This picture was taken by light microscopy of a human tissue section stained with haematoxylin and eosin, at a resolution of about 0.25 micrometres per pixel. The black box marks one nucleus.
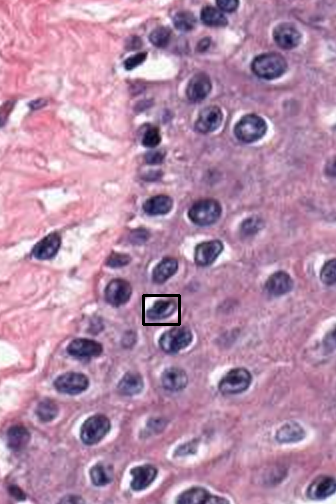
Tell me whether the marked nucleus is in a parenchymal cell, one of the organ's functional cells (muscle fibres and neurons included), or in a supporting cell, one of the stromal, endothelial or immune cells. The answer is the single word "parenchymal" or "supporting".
parenchymal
